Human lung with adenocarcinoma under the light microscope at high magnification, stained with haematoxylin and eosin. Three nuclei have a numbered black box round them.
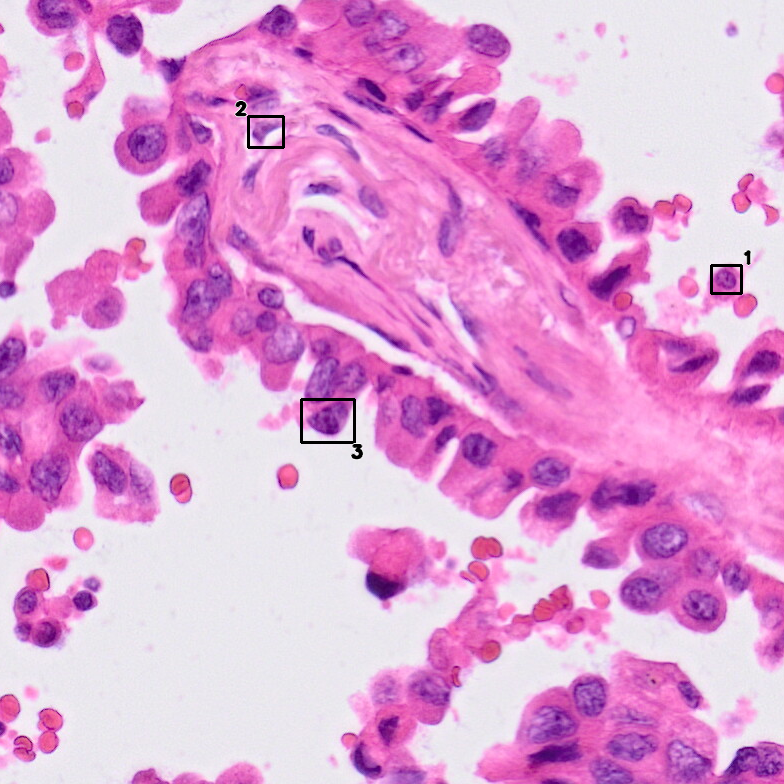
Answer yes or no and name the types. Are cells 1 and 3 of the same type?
No, cell 1 is a macrophage or monocyte, while a carcinoma cell is what cell 3 is.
